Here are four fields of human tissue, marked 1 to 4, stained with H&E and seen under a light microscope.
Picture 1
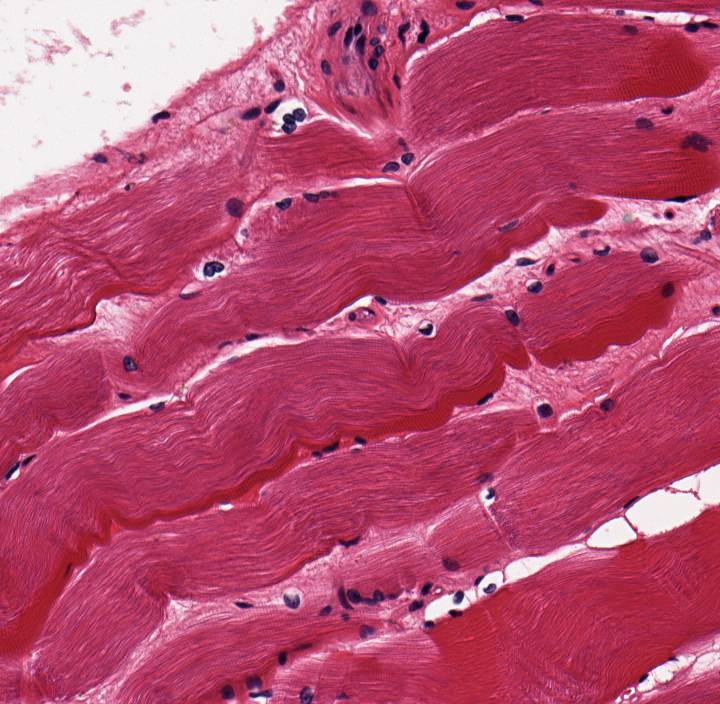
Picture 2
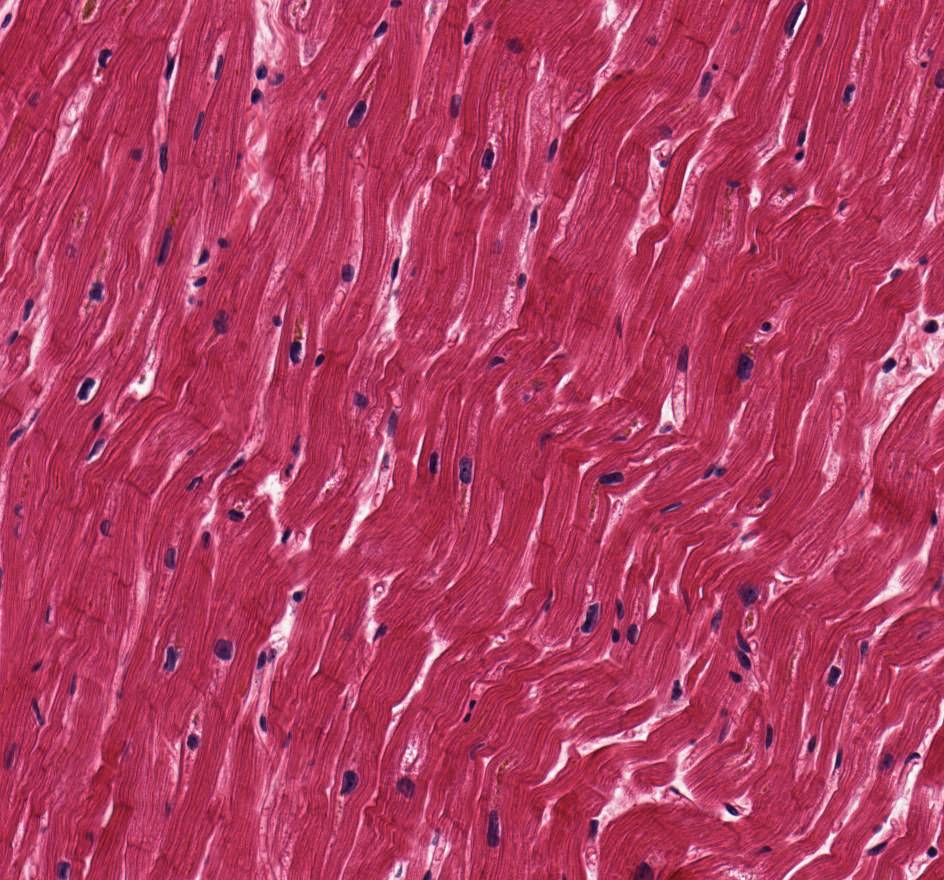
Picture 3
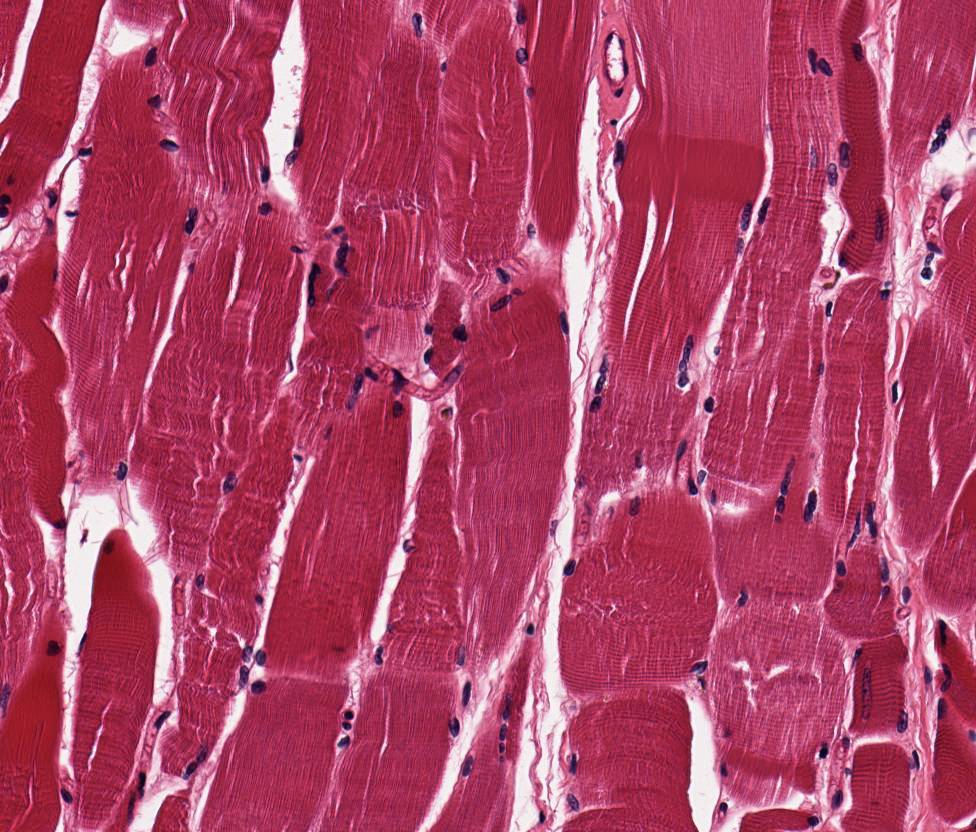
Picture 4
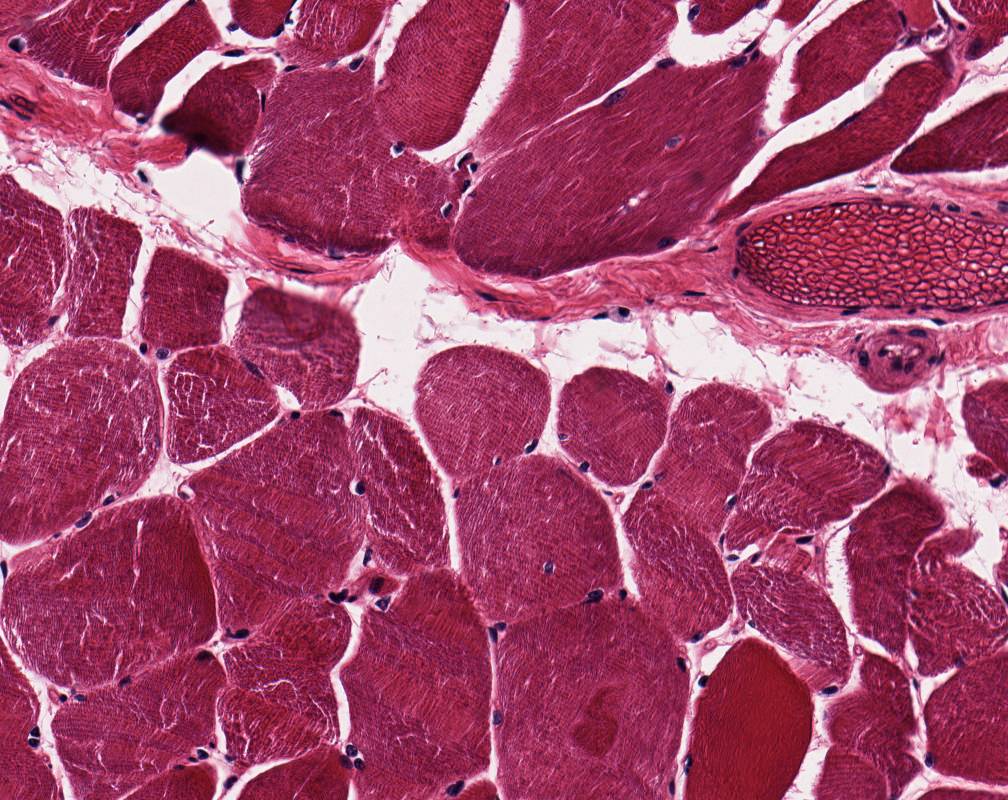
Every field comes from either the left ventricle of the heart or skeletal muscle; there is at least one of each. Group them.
1: skeletal muscle
2: left ventricle of the heart
3: skeletal muscle
4: skeletal muscle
